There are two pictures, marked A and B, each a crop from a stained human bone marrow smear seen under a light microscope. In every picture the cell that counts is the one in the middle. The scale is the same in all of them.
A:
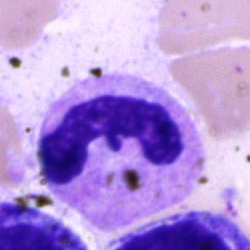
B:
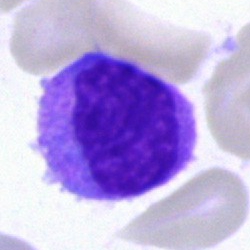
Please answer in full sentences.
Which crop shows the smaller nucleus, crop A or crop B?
Smaller is the nucleus in crop A, and the other is about 1.5 times as large in area.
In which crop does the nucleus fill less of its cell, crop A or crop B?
The nucleus fills less of the cell in crop A than in crop B.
